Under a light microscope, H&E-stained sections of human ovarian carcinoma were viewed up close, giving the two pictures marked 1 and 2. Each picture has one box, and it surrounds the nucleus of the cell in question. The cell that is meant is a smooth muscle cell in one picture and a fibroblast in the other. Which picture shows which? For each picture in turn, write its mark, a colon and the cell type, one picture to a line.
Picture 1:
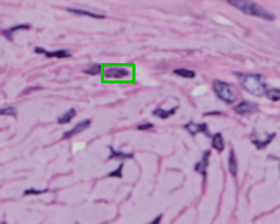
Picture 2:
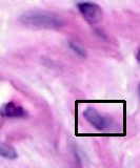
1: fibroblast
2: smooth muscle cell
